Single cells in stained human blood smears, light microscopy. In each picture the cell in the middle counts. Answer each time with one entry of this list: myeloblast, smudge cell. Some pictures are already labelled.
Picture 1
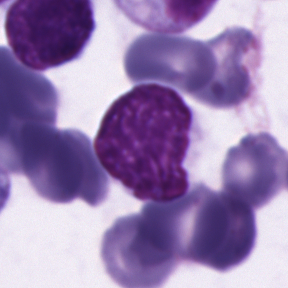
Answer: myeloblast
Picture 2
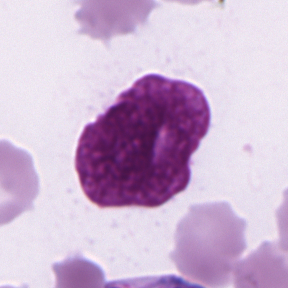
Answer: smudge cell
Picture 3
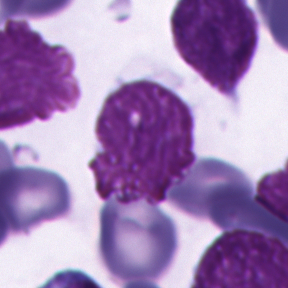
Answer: smudge cell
